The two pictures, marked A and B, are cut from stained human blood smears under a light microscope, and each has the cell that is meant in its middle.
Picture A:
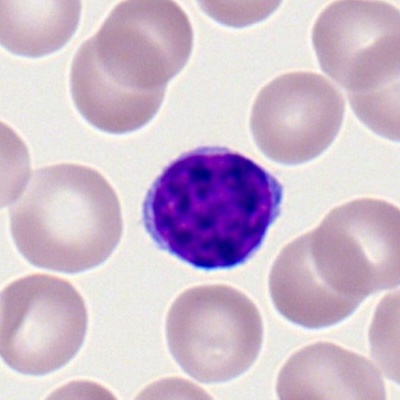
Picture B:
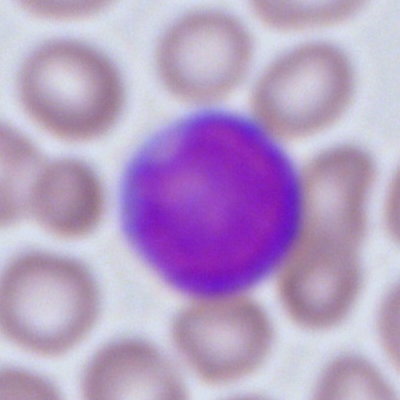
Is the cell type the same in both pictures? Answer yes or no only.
no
